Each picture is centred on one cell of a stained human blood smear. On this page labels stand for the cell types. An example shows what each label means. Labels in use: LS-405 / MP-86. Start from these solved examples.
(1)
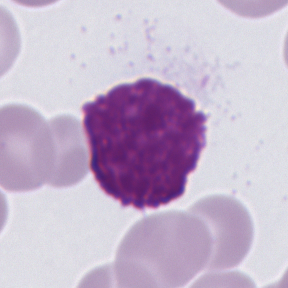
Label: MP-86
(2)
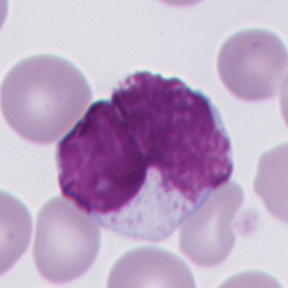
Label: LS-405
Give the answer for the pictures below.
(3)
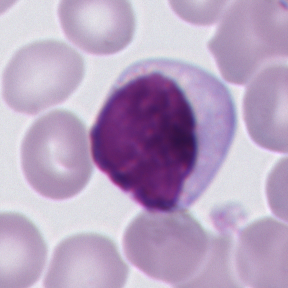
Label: LS-405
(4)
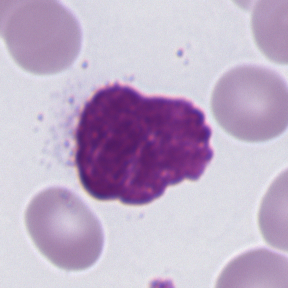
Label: MP-86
